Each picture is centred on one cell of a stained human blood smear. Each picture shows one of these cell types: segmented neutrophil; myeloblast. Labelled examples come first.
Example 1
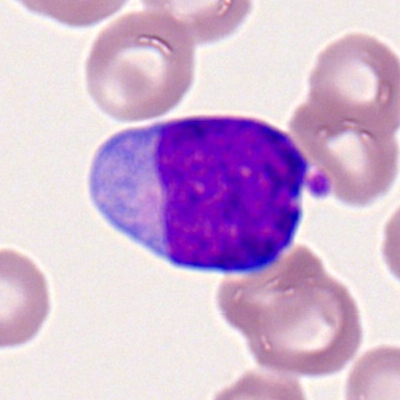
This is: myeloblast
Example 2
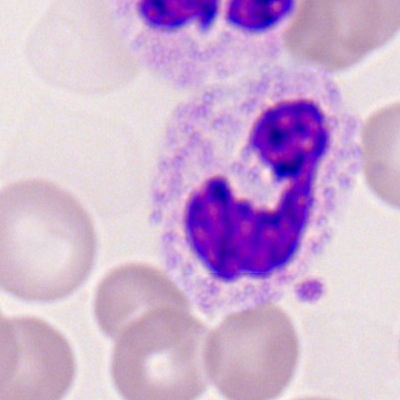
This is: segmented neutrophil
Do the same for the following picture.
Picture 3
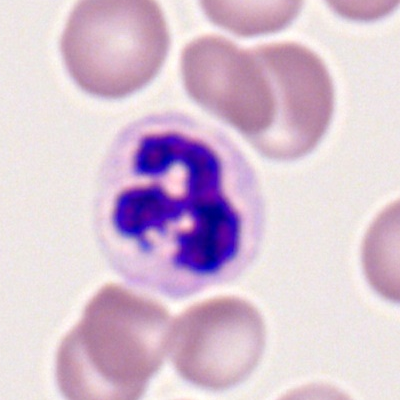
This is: segmented neutrophil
